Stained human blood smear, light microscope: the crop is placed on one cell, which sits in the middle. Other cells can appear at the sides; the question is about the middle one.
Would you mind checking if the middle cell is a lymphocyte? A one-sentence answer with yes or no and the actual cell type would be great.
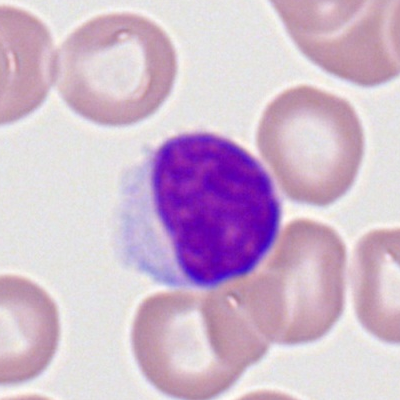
Yes, that middle cell in the crop is a lymphocyte.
